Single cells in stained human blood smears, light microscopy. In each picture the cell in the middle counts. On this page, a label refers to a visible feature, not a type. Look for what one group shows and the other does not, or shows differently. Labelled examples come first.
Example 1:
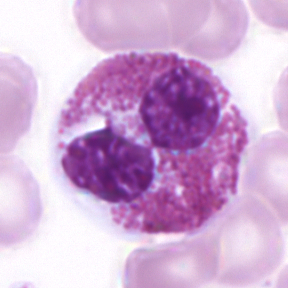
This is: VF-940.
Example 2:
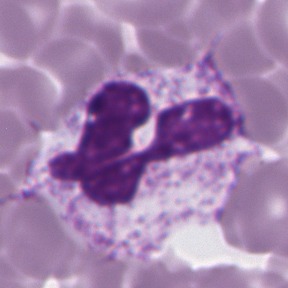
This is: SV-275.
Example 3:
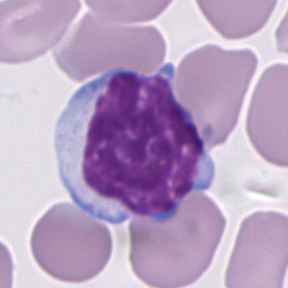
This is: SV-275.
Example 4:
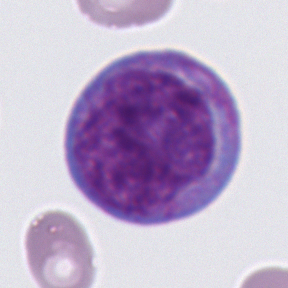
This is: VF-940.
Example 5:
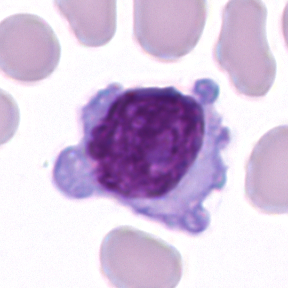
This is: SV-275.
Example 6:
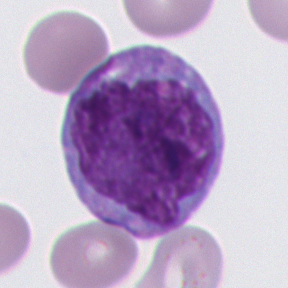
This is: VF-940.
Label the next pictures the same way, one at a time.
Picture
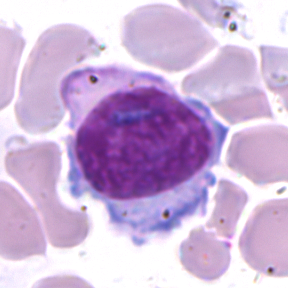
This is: SV-275.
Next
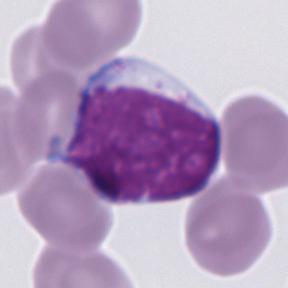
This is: SV-275.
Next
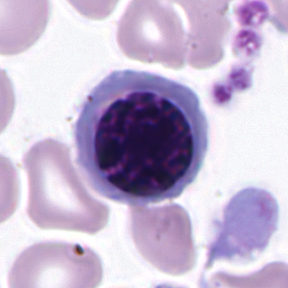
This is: VF-940.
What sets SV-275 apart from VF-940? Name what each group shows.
Seen in SV-275: ragged outline or projections; seen in VF-940: smooth outline.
